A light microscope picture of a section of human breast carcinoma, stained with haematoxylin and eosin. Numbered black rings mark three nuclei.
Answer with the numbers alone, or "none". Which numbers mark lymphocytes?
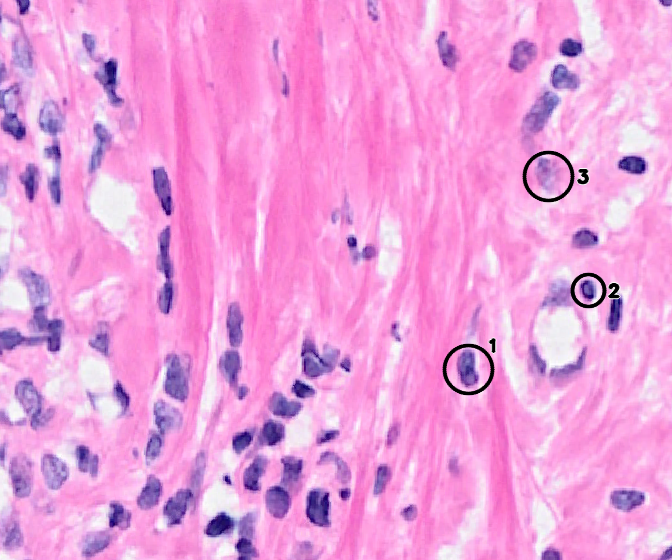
1, 2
